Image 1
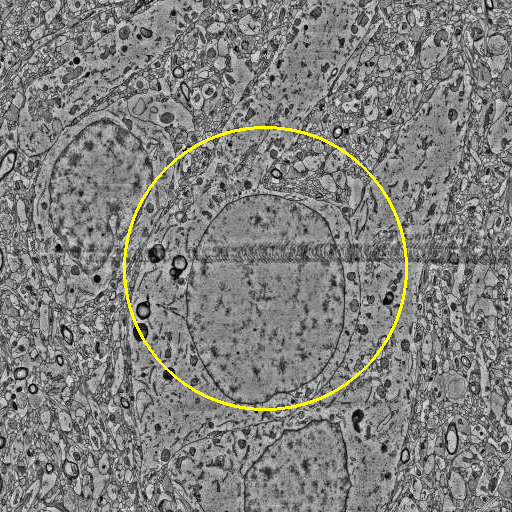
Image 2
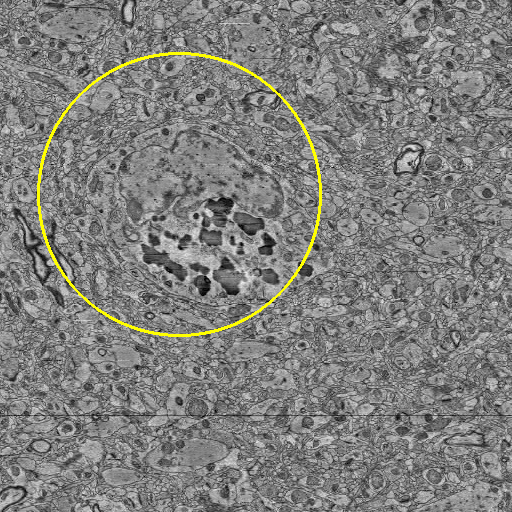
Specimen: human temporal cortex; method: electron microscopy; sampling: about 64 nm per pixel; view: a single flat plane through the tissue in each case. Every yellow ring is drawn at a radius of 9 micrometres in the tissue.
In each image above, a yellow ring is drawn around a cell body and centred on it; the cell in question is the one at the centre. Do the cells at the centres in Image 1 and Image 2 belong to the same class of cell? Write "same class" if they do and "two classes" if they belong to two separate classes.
two classes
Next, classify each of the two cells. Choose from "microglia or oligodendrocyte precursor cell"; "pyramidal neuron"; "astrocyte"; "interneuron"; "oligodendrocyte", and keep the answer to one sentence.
In the first picture it is a pyramidal neuron; in the second it is an interneuron.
